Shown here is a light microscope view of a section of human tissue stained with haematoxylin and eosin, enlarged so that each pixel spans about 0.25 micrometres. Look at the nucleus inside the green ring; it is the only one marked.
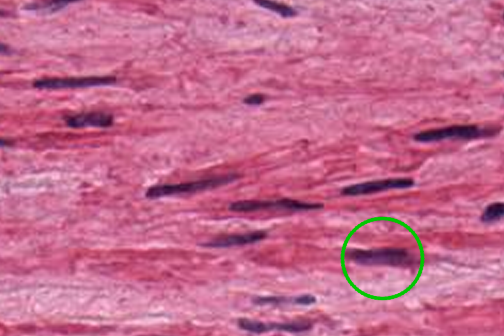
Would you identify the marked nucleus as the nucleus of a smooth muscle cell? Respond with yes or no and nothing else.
yes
